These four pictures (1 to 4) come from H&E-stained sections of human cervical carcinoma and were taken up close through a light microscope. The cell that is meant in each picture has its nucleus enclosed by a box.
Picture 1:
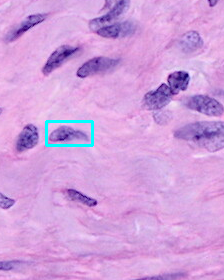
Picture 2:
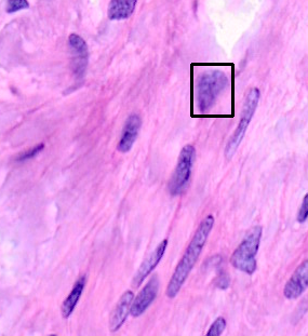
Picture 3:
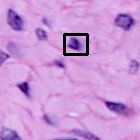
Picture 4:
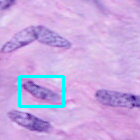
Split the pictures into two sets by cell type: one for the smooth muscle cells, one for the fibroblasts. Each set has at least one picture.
1: fibroblast
2: fibroblast
3: fibroblast
4: smooth muscle cell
